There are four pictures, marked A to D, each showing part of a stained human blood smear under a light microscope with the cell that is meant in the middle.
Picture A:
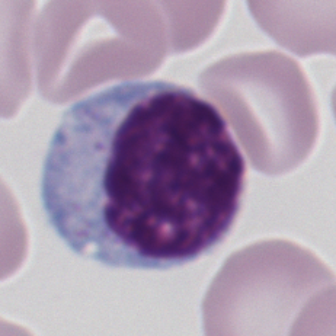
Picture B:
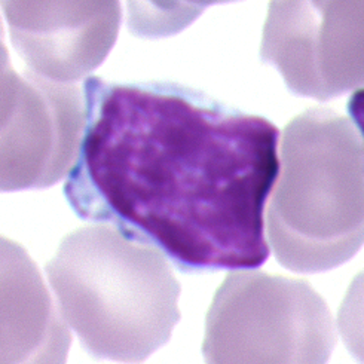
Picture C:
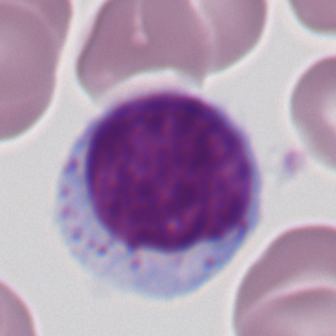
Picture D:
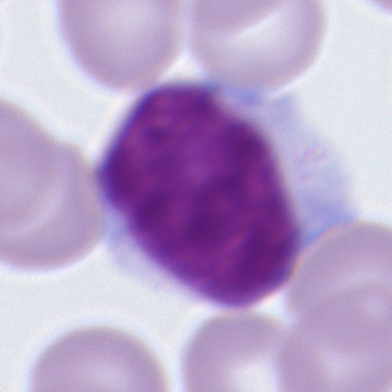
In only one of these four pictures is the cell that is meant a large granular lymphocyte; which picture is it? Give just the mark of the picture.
C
